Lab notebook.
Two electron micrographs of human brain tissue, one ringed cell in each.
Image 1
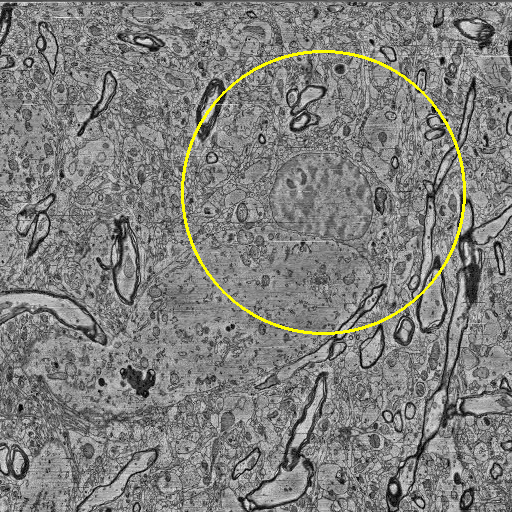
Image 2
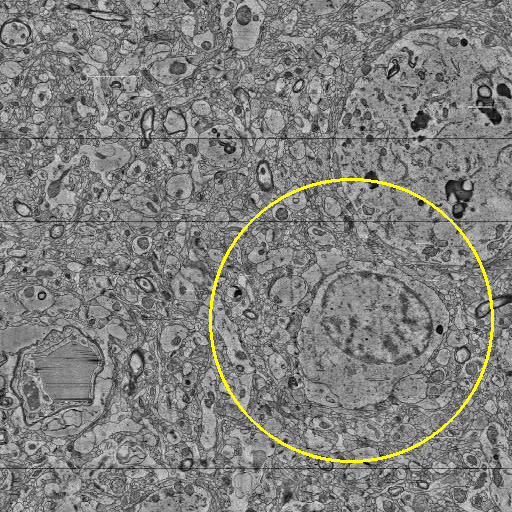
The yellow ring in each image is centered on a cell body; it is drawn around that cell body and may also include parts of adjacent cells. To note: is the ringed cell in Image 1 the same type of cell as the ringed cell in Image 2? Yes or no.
no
